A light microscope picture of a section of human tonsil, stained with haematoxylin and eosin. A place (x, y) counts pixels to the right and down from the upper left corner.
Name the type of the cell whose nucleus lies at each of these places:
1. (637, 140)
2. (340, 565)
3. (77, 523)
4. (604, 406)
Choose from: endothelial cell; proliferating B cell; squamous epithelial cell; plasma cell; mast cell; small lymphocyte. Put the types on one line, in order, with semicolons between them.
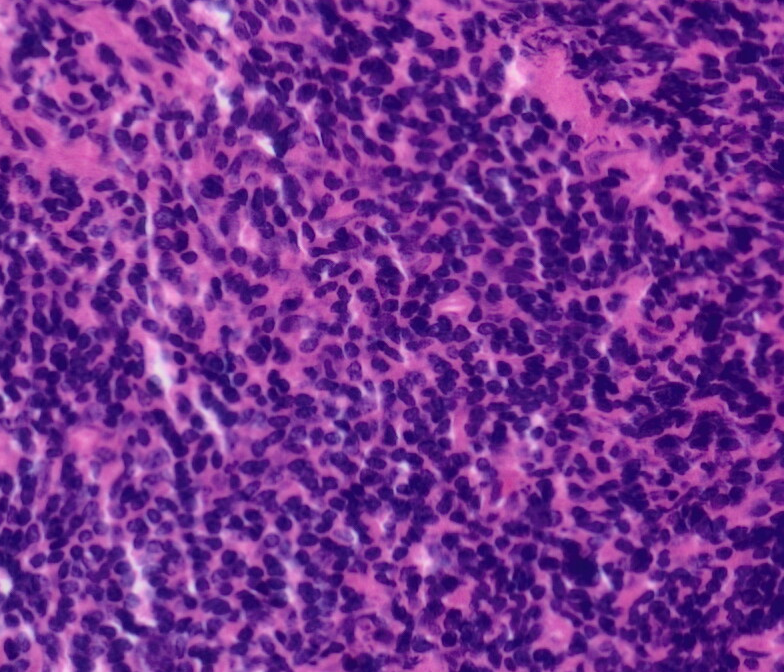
endothelial cell; small lymphocyte; small lymphocyte; small lymphocyte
